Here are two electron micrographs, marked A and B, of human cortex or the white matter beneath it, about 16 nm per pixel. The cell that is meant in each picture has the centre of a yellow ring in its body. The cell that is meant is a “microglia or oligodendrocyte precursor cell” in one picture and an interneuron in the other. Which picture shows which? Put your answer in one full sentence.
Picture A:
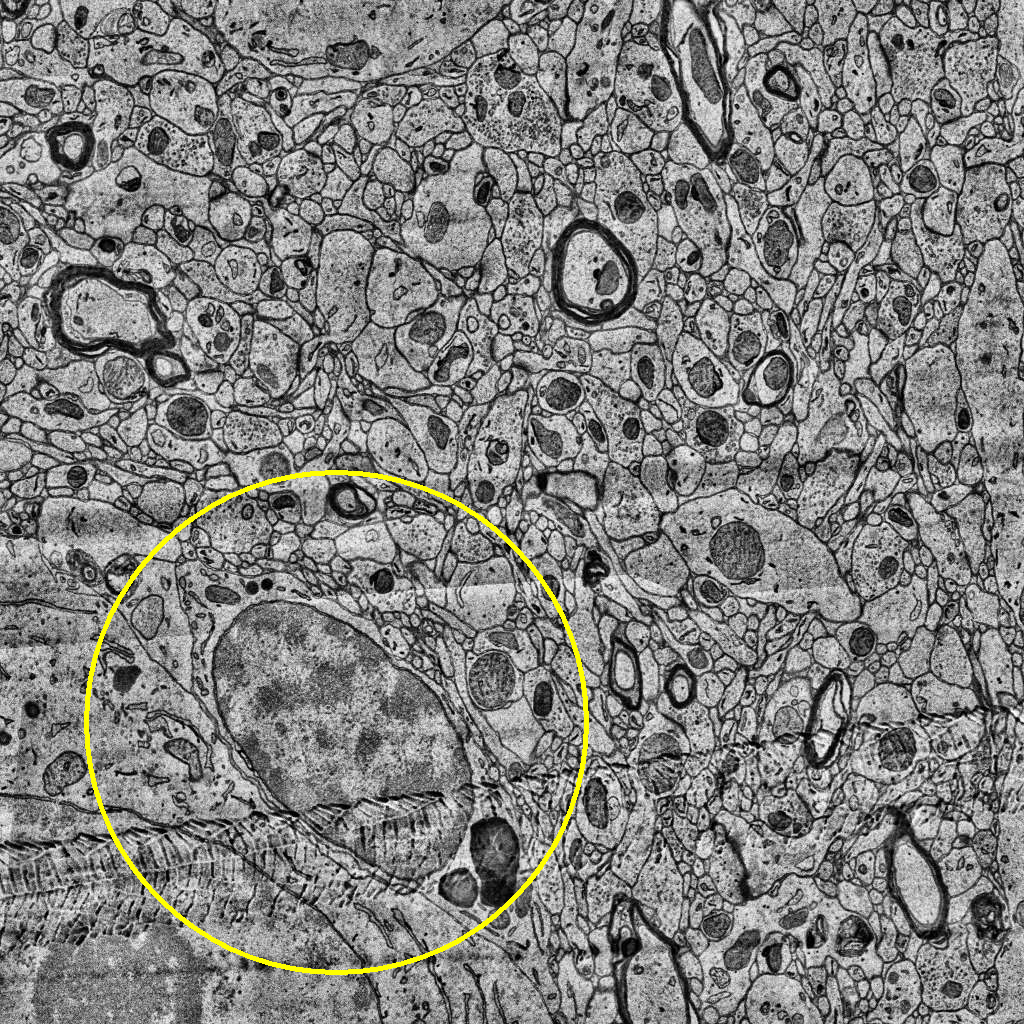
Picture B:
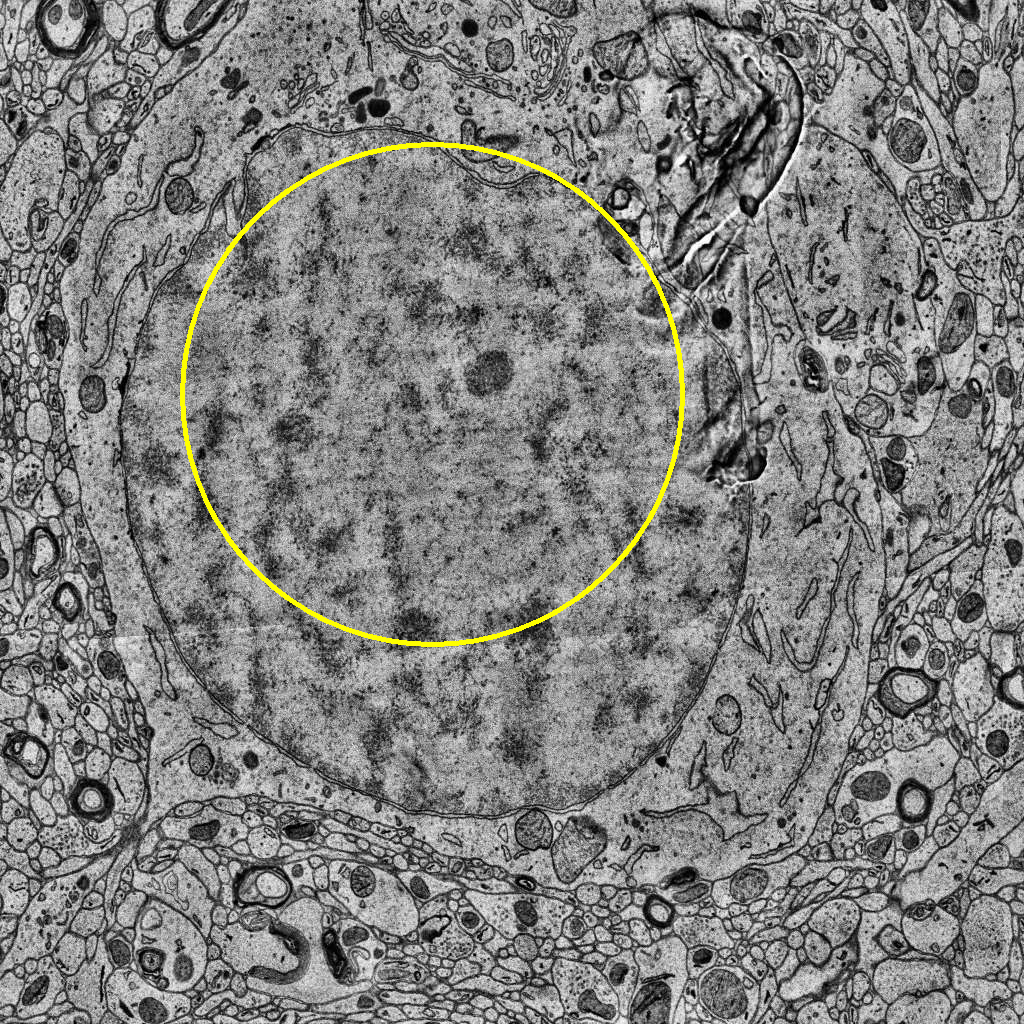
Picture A shows a “microglia or oligodendrocyte precursor cell” and picture B shows an interneuron.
